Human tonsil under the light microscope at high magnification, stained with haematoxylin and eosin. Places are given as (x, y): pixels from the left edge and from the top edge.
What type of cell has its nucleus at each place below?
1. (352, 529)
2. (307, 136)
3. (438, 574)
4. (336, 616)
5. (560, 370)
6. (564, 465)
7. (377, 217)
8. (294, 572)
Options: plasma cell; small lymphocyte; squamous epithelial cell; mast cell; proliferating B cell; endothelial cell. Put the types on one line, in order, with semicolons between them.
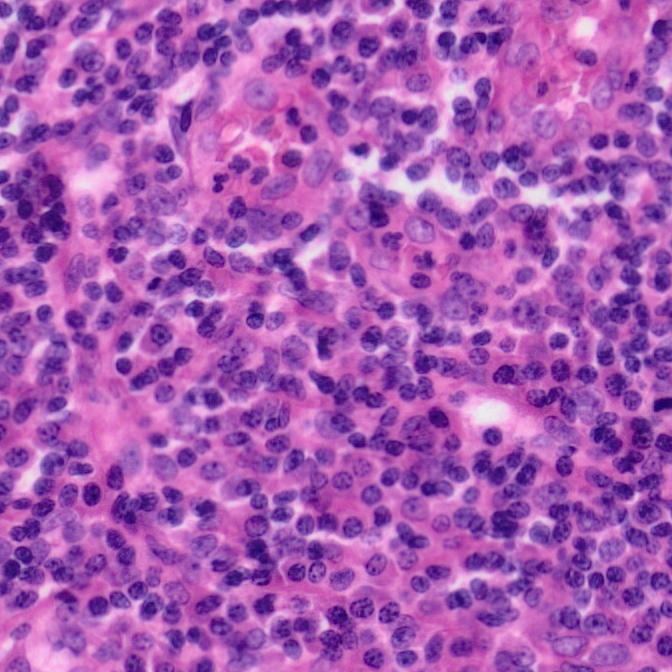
plasma cell; endothelial cell; plasma cell; plasma cell; plasma cell; endothelial cell; endothelial cell; plasma cell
